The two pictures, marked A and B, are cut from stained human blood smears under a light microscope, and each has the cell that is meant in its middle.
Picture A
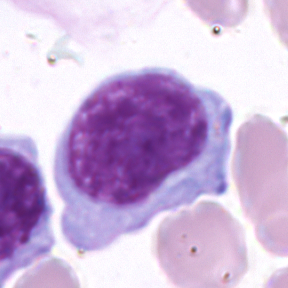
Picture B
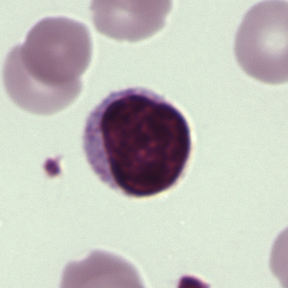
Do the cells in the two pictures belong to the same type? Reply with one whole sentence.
No, they differ: the cell is a plasma cell in picture A and a typical lymphocyte in picture B.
